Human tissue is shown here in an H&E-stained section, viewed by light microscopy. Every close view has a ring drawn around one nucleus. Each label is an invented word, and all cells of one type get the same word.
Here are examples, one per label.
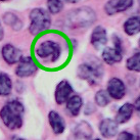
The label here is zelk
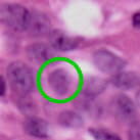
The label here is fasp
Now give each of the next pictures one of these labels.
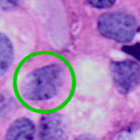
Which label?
fasp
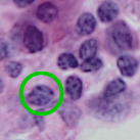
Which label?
zelk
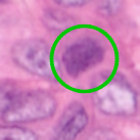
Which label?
fasp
